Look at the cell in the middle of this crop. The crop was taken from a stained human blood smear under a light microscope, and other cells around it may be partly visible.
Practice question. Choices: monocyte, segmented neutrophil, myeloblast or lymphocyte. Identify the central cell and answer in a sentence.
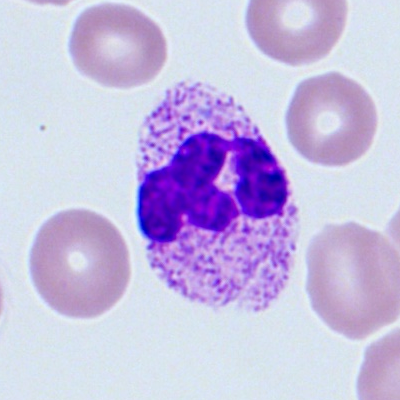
The central element of this crop is a cell, namely a segmented neutrophil.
